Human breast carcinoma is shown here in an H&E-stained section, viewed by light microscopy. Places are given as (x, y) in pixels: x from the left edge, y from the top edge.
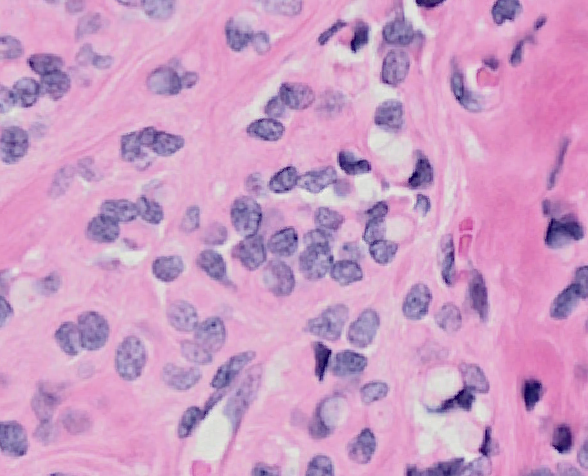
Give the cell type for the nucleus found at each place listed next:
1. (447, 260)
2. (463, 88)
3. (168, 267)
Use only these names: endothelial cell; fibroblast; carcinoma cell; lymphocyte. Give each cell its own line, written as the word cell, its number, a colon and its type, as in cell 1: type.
cell 1: endothelial cell
cell 2: endothelial cell
cell 3: carcinoma cell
